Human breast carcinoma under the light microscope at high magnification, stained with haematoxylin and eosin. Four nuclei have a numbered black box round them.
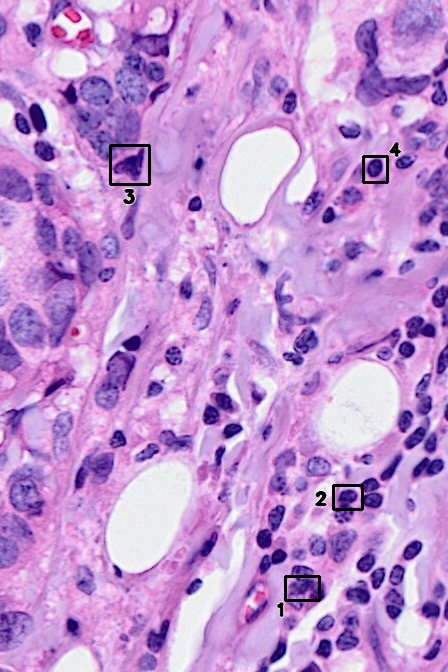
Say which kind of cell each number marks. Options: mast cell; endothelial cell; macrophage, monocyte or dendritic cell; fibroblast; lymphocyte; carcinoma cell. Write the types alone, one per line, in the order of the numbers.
lymphocyte
lymphocyte
carcinoma cell
lymphocyte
